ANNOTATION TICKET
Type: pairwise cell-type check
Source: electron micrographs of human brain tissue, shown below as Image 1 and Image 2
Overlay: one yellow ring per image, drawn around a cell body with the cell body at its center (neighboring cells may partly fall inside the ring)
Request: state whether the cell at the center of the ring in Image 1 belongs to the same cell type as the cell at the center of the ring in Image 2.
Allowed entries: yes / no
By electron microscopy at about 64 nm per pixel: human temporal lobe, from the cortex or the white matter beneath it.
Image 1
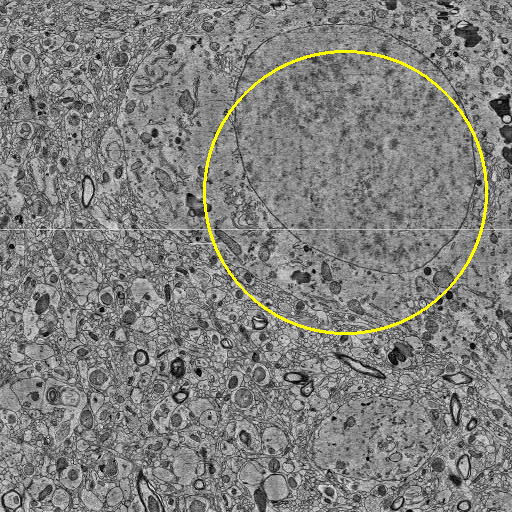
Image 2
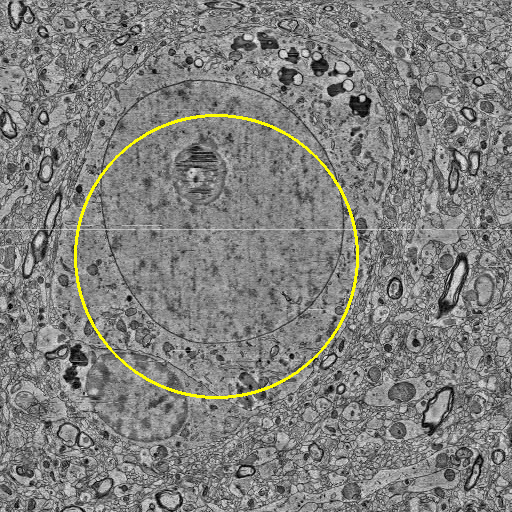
yes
